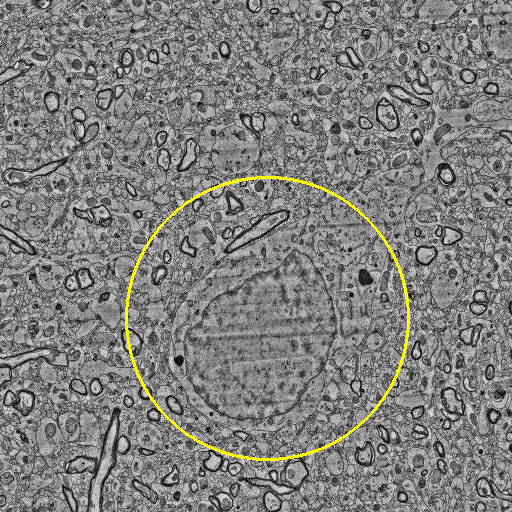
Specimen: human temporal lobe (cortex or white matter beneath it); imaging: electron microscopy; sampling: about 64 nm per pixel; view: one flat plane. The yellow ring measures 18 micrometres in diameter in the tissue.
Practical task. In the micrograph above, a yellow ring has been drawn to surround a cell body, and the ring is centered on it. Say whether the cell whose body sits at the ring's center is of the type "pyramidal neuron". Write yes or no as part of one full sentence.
No, the cell at the center of the ring above is of another type.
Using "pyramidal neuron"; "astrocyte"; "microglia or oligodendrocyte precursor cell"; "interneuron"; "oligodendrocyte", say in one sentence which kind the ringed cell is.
At the centre of the ring sits an interneuron.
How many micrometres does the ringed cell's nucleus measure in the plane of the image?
In this plane, the nucleus is roughly 11 by 8 micrometres.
